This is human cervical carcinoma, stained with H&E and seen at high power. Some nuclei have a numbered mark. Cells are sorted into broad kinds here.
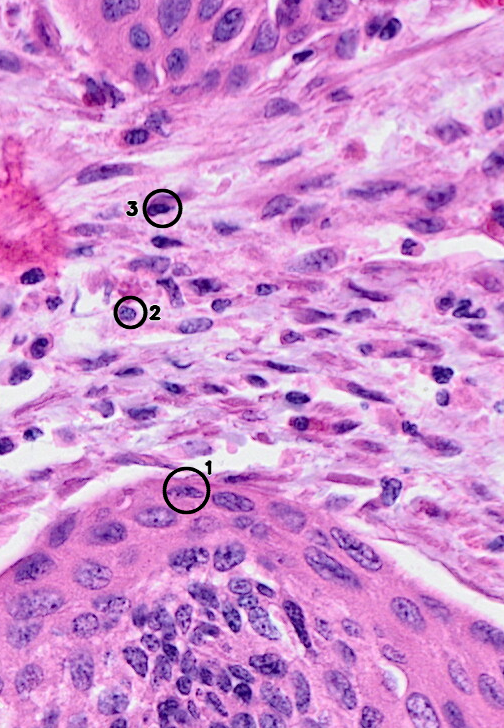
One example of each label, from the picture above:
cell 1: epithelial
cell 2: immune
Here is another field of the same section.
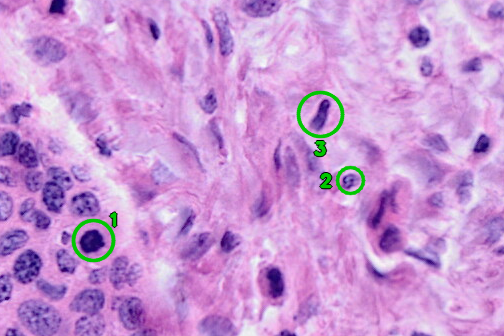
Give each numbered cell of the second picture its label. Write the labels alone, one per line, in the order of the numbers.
epithelial
immune
immune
